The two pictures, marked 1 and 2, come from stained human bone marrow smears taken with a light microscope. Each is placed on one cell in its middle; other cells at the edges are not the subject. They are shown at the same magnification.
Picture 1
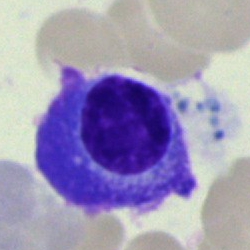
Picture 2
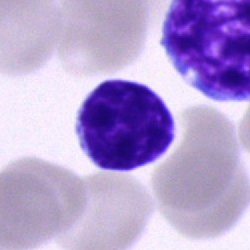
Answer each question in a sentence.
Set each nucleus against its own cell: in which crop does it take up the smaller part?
In picture 1 the nucleus takes up the smaller part of its cell.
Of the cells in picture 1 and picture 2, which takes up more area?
Picture 1 holds the larger cell; it covers about 2 times the area of the cell in picture 2.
